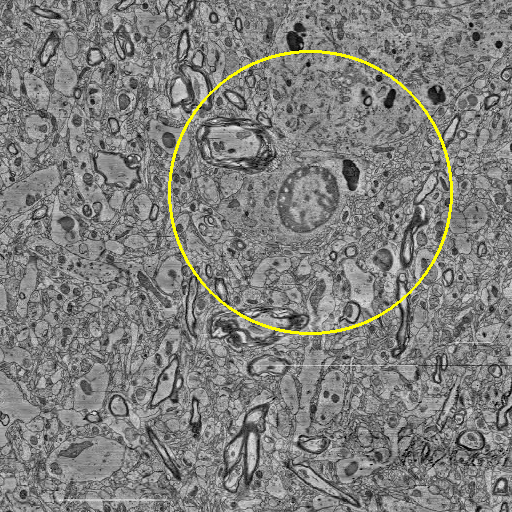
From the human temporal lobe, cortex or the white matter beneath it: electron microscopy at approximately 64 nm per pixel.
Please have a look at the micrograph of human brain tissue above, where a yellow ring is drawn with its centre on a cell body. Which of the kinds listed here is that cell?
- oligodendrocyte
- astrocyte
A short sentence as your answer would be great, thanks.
At the centre of the ring sits an oligodendrocyte.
